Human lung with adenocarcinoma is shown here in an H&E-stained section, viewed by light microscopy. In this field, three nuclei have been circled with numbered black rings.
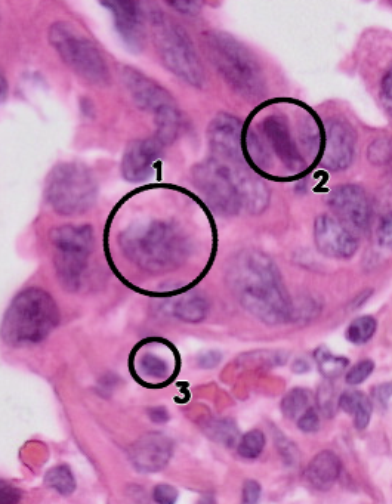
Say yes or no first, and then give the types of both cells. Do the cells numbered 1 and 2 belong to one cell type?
Yes, both are carcinoma cells.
